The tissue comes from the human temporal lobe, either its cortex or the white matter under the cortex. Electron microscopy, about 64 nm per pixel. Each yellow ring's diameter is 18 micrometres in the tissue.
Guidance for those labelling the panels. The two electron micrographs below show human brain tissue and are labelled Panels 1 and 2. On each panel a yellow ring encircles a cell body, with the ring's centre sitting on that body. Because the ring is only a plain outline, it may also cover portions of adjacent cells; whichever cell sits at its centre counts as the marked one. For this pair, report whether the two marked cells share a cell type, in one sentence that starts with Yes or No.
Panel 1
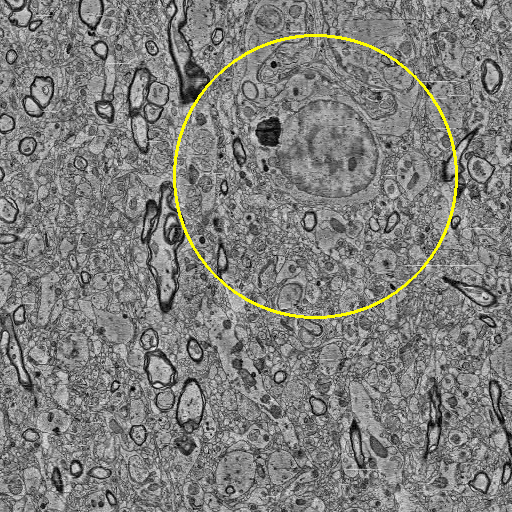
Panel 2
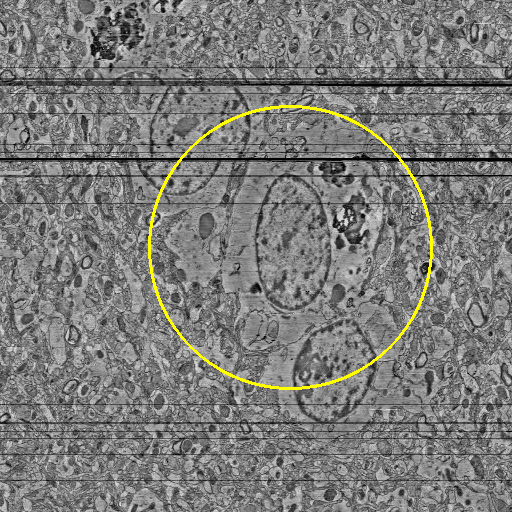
No, in Panel 1 and Panel 2 the marked cells at the ring centres are of two types.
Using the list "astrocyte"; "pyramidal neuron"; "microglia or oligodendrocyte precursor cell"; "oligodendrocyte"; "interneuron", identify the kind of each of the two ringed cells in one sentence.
The first is an oligodendrocyte and the second is an astrocyte.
